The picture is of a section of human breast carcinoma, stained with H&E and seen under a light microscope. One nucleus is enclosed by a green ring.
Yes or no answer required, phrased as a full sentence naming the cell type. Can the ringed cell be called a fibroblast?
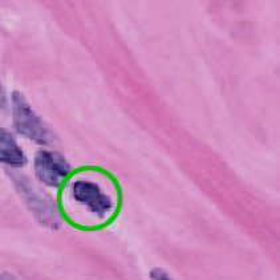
No, the ringed cell is not a fibroblast but a lymphocyte.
